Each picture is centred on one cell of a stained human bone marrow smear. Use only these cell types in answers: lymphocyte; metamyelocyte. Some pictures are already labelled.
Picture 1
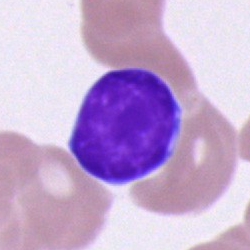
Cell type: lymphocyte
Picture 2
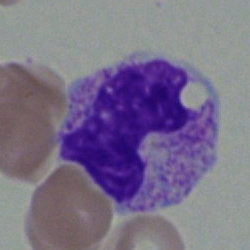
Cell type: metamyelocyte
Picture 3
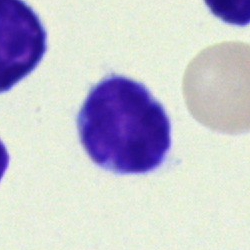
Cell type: lymphocyte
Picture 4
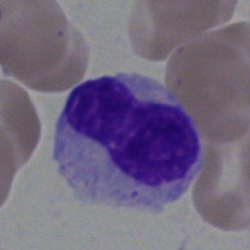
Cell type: metamyelocyte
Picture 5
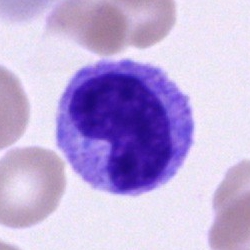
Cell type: metamyelocyte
